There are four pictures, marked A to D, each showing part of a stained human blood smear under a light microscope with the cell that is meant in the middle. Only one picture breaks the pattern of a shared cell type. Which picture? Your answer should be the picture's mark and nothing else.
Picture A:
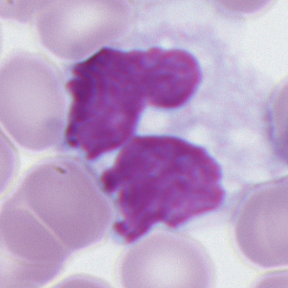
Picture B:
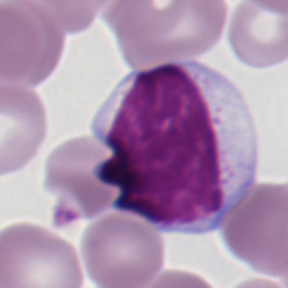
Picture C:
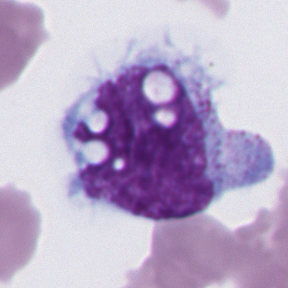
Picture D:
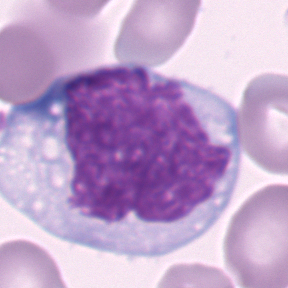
B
